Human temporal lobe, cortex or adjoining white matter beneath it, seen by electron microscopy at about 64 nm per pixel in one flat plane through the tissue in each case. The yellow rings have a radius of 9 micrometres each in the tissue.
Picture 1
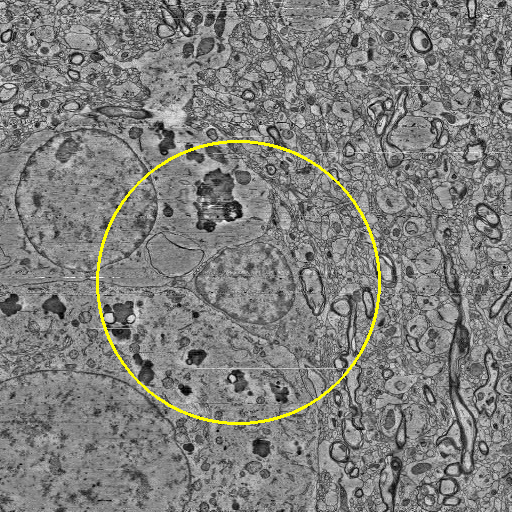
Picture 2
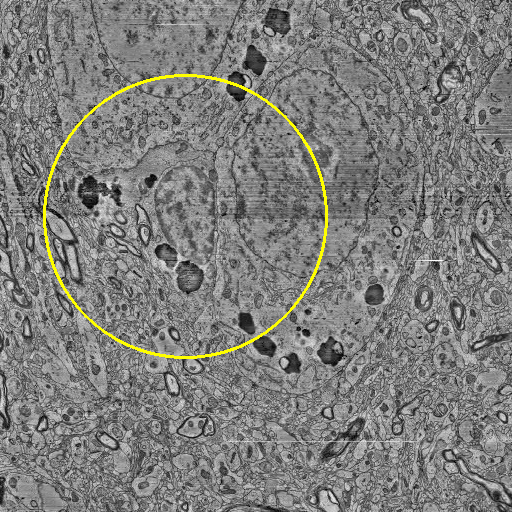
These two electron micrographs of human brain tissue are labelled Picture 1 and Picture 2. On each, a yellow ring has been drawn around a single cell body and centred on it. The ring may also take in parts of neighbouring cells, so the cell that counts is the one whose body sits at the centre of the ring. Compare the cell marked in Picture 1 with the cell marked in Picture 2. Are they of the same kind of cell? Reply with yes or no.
yes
